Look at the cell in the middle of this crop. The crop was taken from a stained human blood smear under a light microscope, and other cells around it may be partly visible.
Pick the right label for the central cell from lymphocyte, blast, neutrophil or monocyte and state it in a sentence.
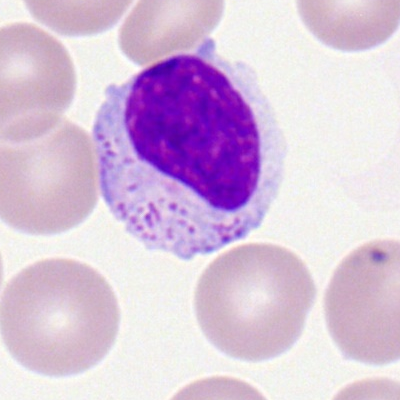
The crop shows a lymphocyte in its centre.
